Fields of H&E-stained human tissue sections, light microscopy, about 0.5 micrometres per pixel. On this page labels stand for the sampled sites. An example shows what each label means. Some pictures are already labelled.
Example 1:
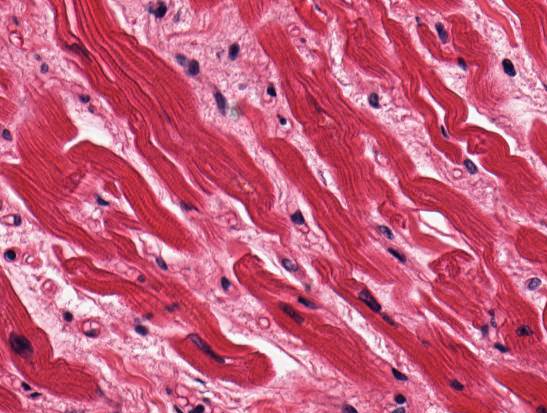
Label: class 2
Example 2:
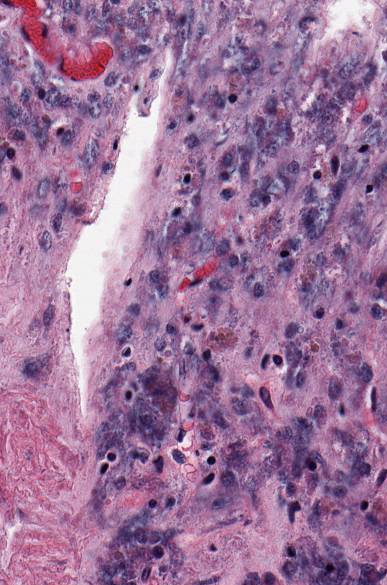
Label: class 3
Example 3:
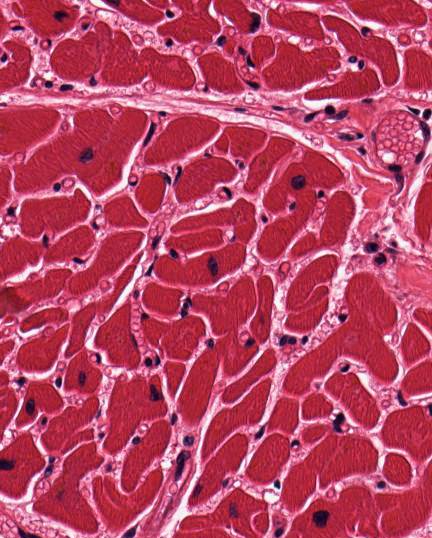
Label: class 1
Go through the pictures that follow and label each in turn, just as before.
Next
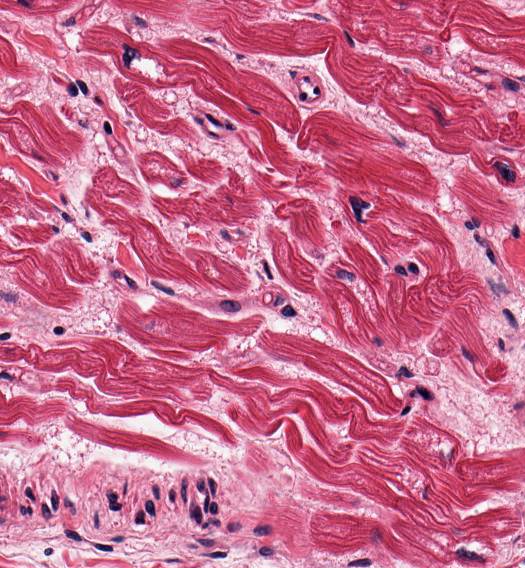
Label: class 2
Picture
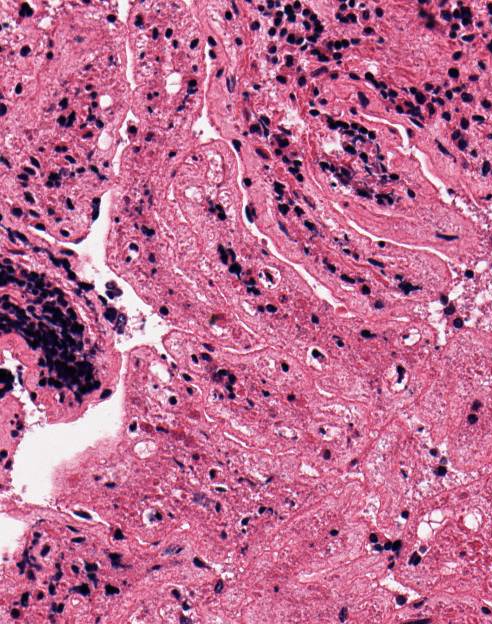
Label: class 3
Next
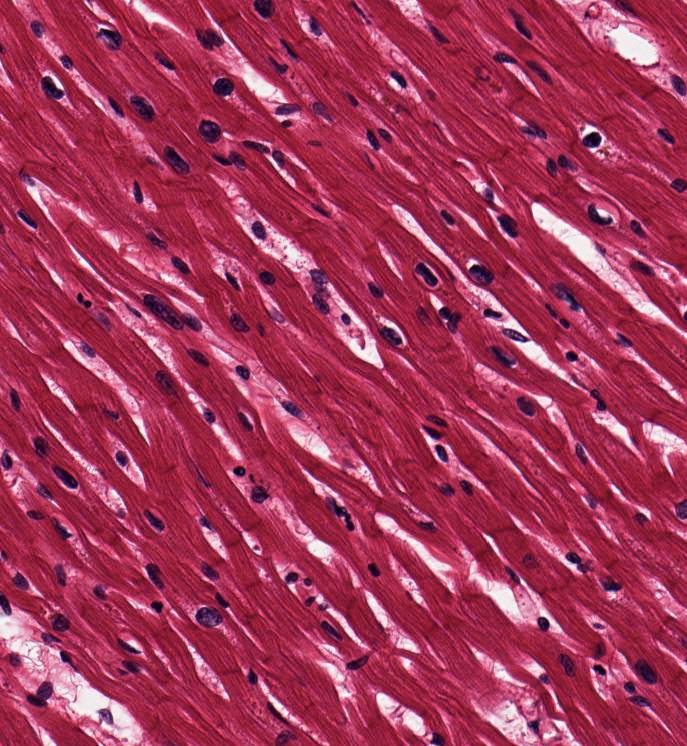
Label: class 1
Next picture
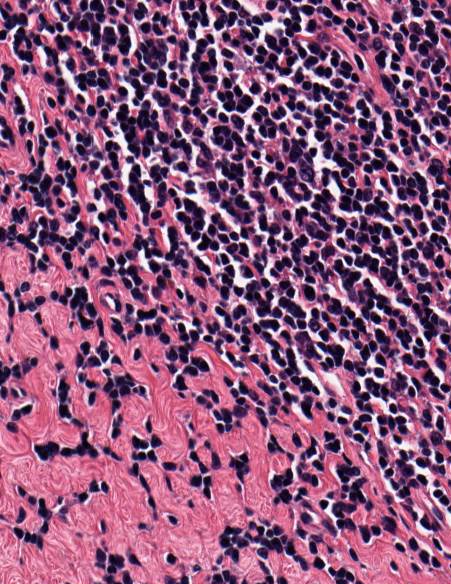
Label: class 3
